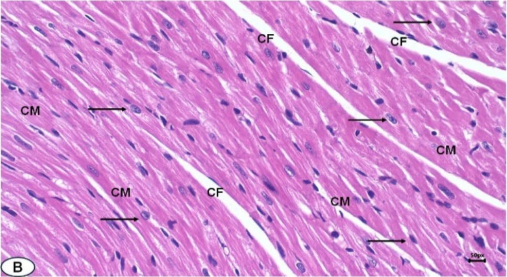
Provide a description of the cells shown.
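This is heart muscle, with long pink cardiac muscle fibers running diagonally in parallel across the field. Each fiber holds oval purple nuclei lying along its length, near its middle. Between bundles of fibers lie pale, nearly empty clefts where the connective tissue runs. The arrangement is orderly, with fibers closely packed and evenly stained.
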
